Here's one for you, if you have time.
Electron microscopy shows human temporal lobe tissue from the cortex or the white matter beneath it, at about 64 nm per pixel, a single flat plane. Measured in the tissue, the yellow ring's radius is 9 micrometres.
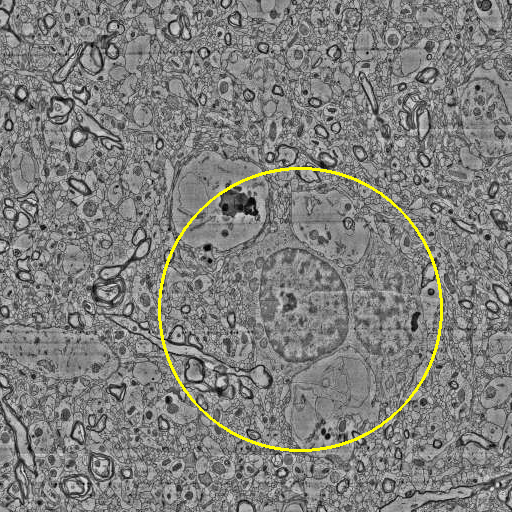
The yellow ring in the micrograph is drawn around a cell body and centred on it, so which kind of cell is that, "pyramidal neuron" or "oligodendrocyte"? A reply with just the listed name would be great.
oligodendrocyte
